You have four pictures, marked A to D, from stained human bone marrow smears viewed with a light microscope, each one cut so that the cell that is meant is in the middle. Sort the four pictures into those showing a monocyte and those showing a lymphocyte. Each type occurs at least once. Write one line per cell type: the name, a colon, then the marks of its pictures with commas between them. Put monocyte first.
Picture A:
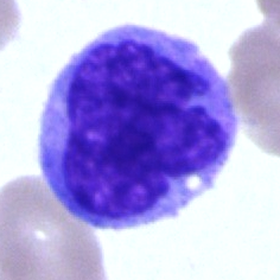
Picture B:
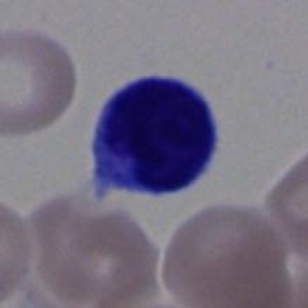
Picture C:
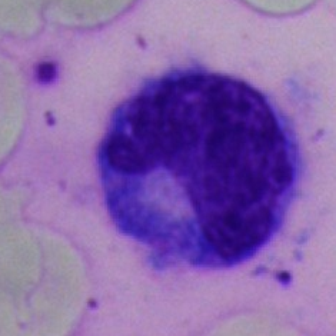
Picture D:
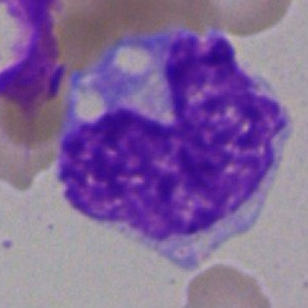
monocyte: A, C, D
lymphocyte: B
